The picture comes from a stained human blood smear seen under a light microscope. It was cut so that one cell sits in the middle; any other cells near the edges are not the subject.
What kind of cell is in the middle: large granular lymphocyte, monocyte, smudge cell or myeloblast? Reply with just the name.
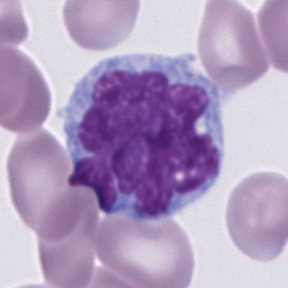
monocyte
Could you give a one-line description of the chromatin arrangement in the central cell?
If you check the nucleus, you will find the chromatin coarsely clumped.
